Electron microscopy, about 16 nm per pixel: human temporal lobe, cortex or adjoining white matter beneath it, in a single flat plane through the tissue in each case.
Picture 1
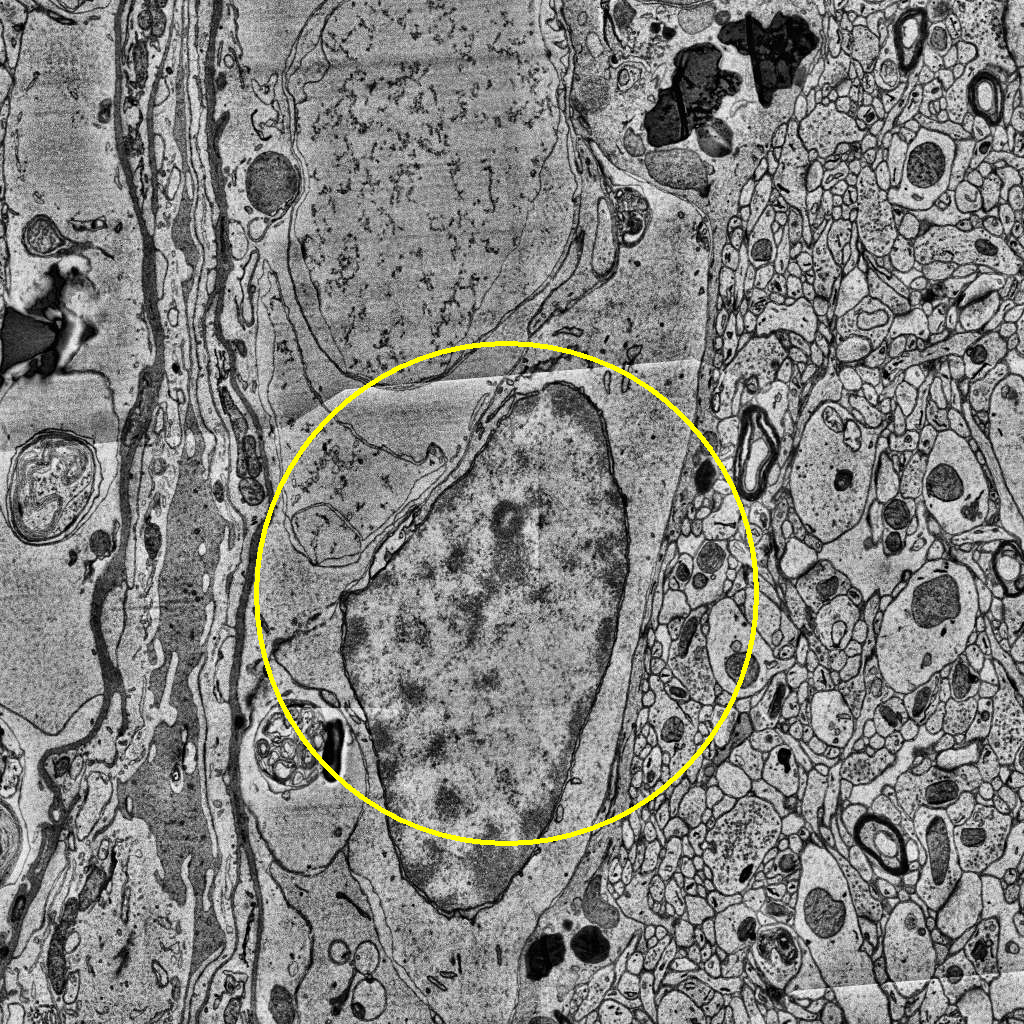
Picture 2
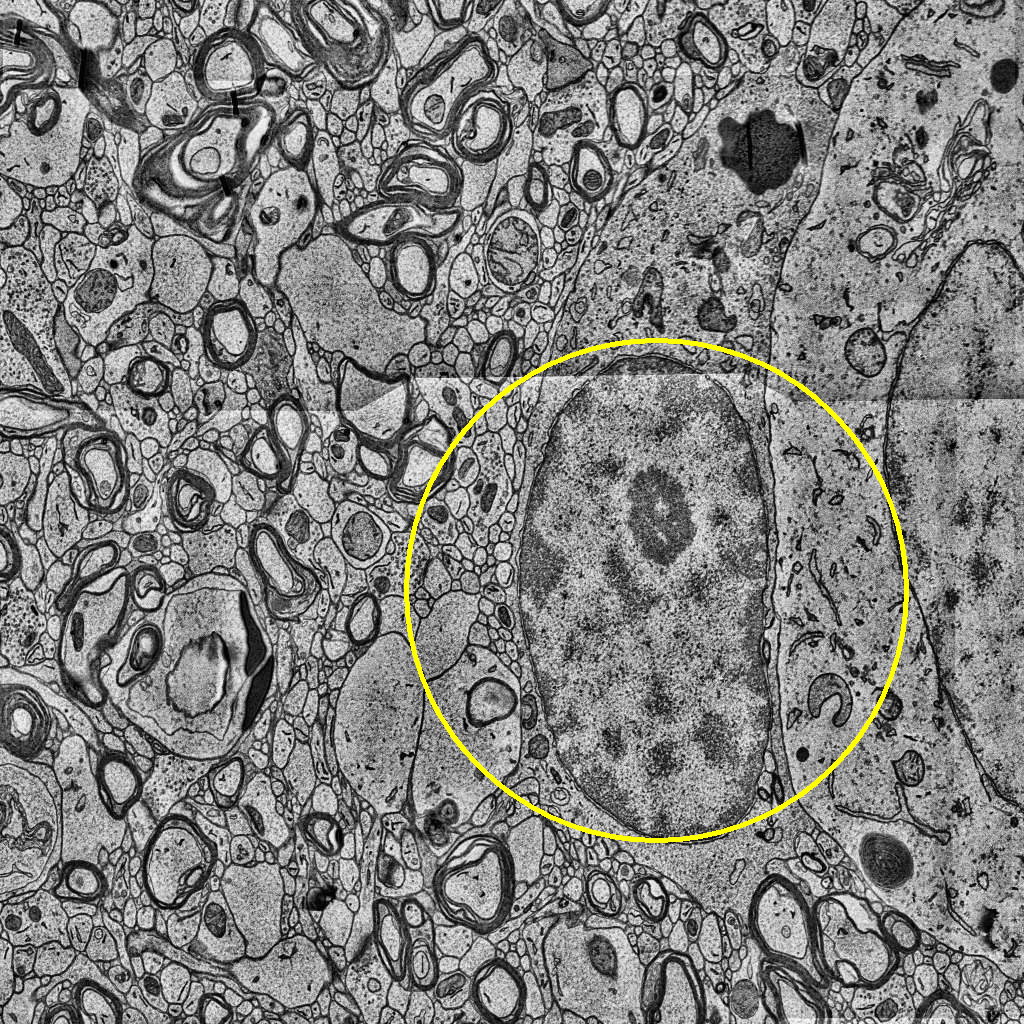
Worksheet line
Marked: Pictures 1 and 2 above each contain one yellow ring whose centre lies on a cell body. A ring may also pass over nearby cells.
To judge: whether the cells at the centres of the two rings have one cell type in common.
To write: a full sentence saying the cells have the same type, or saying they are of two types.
The cells at the centres of the rings in Picture 1 and Picture 2 are of two types.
